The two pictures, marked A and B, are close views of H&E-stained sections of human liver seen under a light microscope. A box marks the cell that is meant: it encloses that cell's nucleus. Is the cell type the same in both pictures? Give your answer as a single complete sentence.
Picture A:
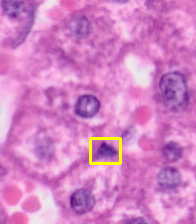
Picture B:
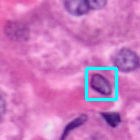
No. Picture A shows a “fibroblast or stellate cell”, but picture B shows a Kupffer cell.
